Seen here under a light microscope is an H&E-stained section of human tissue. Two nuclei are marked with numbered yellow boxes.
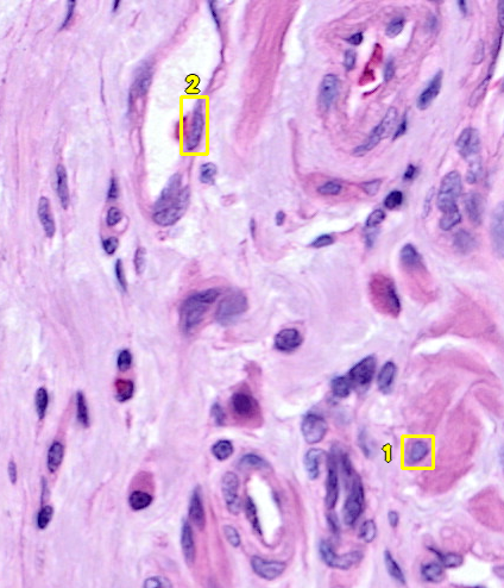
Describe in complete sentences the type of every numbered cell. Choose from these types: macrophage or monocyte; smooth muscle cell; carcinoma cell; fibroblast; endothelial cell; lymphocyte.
Cell 1 is a smooth muscle cell. Cell 2 is an endothelial cell.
